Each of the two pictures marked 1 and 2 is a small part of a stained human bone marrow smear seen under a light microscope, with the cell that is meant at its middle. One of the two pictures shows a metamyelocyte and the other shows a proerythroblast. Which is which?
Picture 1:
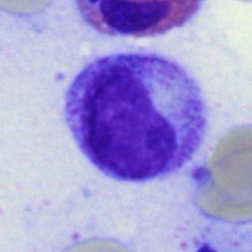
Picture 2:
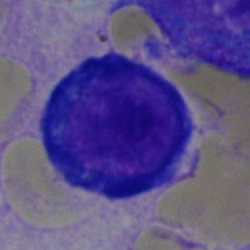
1: metamyelocyte
2: proerythroblast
